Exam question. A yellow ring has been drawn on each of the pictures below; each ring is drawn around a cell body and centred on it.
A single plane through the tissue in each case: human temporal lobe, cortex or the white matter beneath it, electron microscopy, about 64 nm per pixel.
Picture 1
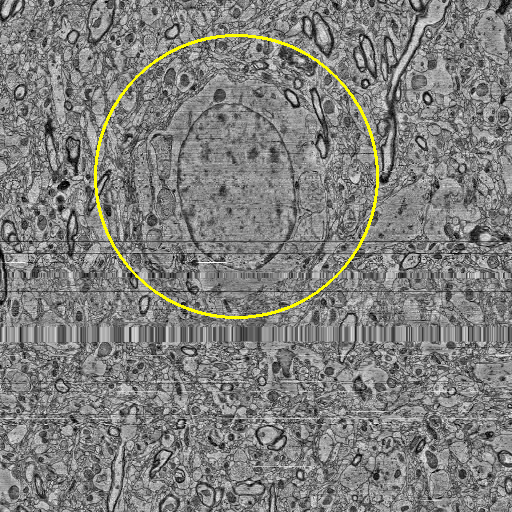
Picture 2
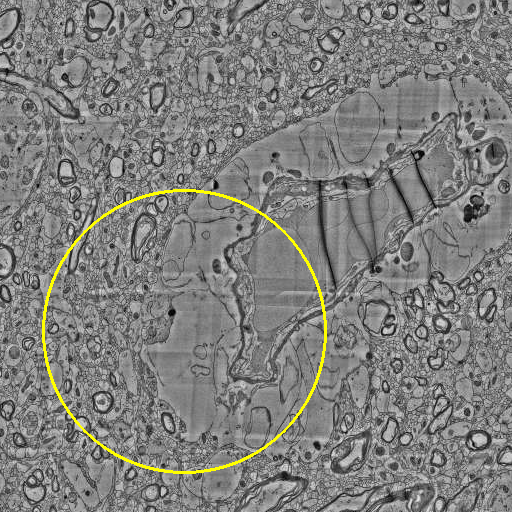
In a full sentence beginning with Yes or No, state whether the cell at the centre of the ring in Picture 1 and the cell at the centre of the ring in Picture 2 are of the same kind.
No, the cells are of two kinds.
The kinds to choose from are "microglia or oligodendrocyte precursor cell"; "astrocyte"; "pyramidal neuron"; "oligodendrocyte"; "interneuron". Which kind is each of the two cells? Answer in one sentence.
Of the two, the first cell is an astrocyte and the second cell is an oligodendrocyte.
